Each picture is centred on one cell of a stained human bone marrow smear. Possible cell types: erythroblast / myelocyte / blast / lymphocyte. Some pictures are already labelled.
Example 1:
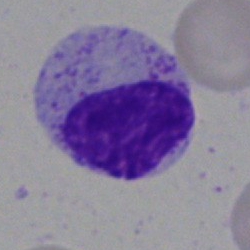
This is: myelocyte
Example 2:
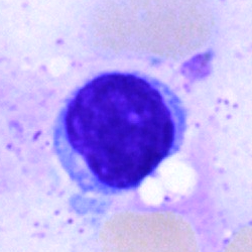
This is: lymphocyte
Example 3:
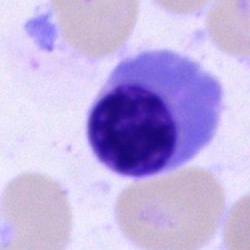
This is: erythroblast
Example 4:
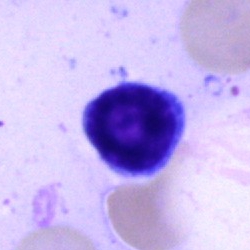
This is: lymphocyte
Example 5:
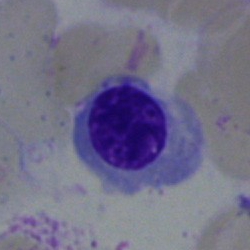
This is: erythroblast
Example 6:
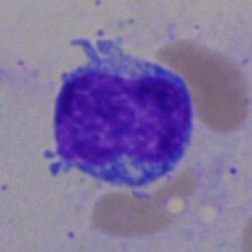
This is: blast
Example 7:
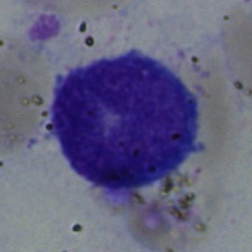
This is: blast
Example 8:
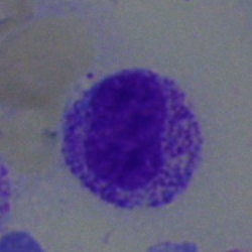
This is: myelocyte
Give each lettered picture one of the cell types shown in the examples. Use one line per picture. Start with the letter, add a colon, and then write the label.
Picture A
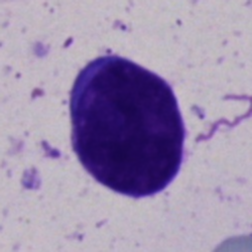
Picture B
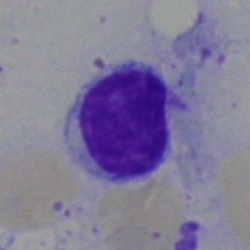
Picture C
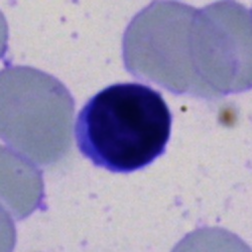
A: blast
B: lymphocyte
C: lymphocyte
